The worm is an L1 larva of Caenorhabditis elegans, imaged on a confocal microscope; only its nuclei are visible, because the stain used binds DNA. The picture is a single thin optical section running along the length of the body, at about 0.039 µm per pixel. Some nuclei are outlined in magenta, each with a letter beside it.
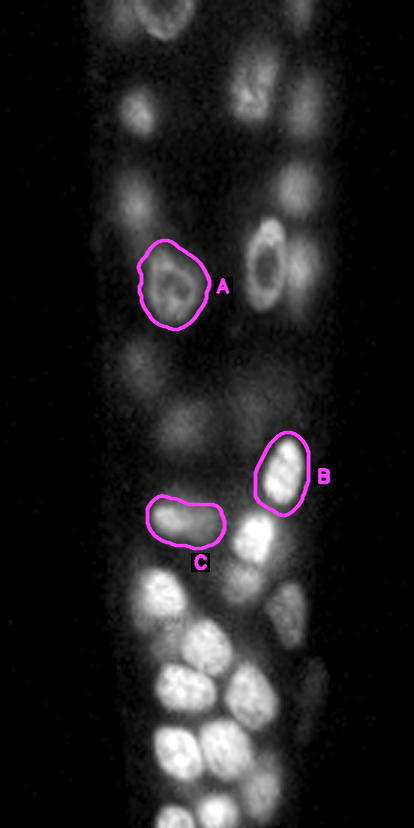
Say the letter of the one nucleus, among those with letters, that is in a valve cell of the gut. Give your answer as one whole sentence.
The one from a valve cell of the gut is C.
